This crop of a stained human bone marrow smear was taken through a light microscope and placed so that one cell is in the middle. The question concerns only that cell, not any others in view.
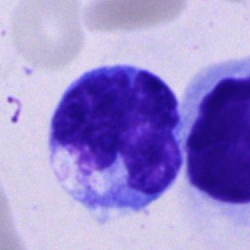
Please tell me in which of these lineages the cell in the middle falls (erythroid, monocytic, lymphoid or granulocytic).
monocytic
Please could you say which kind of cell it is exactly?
monocyte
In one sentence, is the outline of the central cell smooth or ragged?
The cell outline lacks smoothness, being ragged or extended into projections.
